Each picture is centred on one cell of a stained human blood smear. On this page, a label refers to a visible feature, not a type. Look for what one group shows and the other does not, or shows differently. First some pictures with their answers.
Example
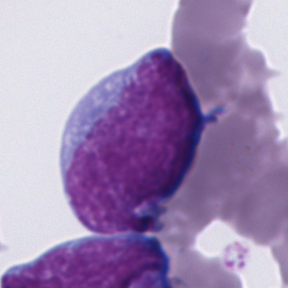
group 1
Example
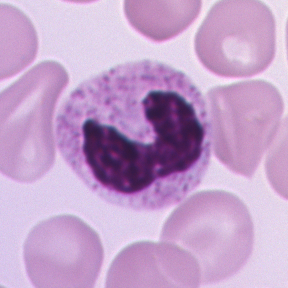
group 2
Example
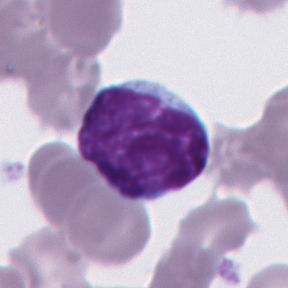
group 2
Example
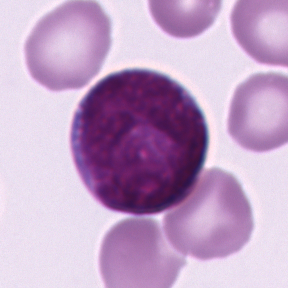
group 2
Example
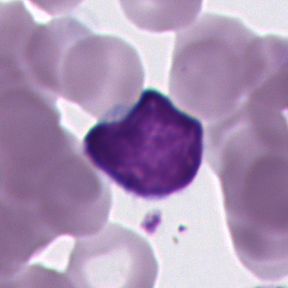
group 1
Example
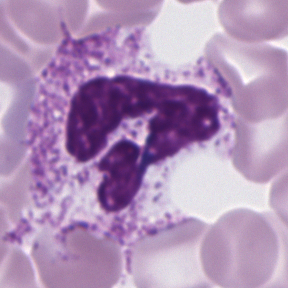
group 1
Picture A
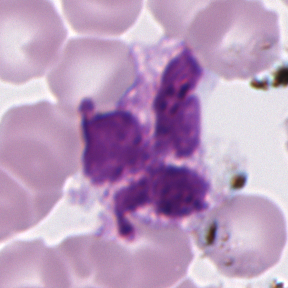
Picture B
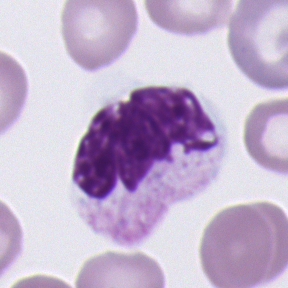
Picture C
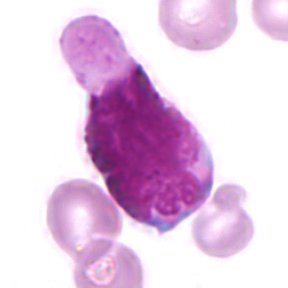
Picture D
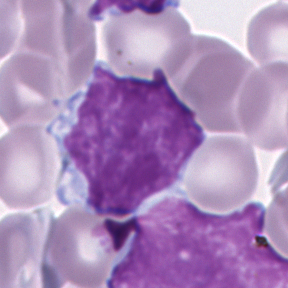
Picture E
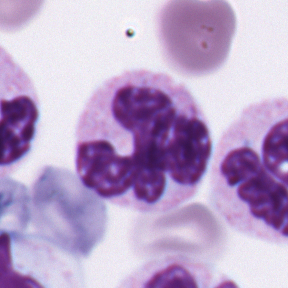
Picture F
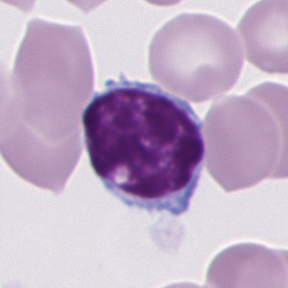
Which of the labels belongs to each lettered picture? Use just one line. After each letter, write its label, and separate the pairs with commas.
A group 1, B group 2, C group 1, D group 1, E group 2, F group 1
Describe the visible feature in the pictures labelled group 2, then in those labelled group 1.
group 2: smooth outline; group 1: ragged outline or projections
